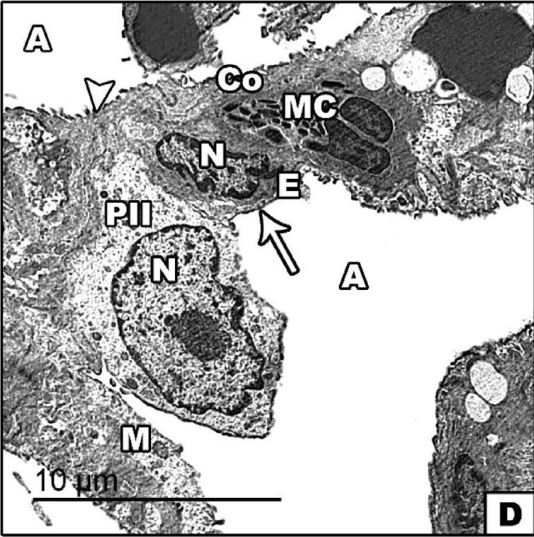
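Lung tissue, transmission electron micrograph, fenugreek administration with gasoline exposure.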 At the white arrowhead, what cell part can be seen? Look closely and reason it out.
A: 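The arrowhead points to a finely projecting cell surface bordering an air space.
Conclusion: microvilli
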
